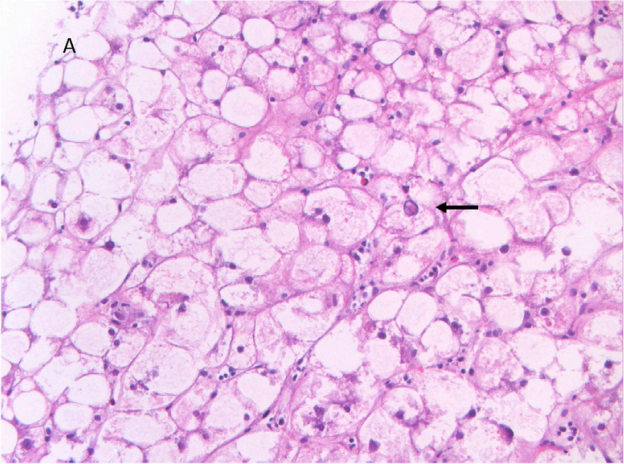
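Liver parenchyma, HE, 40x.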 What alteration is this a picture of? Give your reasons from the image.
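Large polygonal cells with very pale, wispy cytoplasm. Thin, distinct pink cell borders outline each cell. Small dark nuclei sit within largely cleared cytoplasm. The answer: enlarged, swollen hepatocytes with a pale cytoplasm.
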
